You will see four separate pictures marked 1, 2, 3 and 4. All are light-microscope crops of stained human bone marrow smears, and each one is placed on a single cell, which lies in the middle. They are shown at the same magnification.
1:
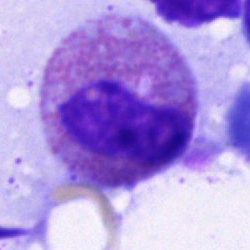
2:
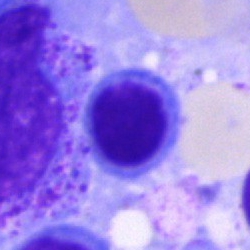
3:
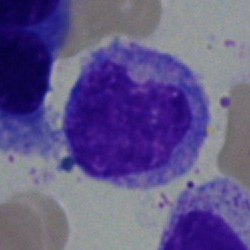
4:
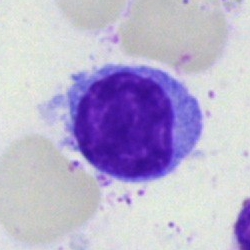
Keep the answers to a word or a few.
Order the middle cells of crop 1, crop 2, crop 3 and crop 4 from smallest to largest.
2, 4, 3, 1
